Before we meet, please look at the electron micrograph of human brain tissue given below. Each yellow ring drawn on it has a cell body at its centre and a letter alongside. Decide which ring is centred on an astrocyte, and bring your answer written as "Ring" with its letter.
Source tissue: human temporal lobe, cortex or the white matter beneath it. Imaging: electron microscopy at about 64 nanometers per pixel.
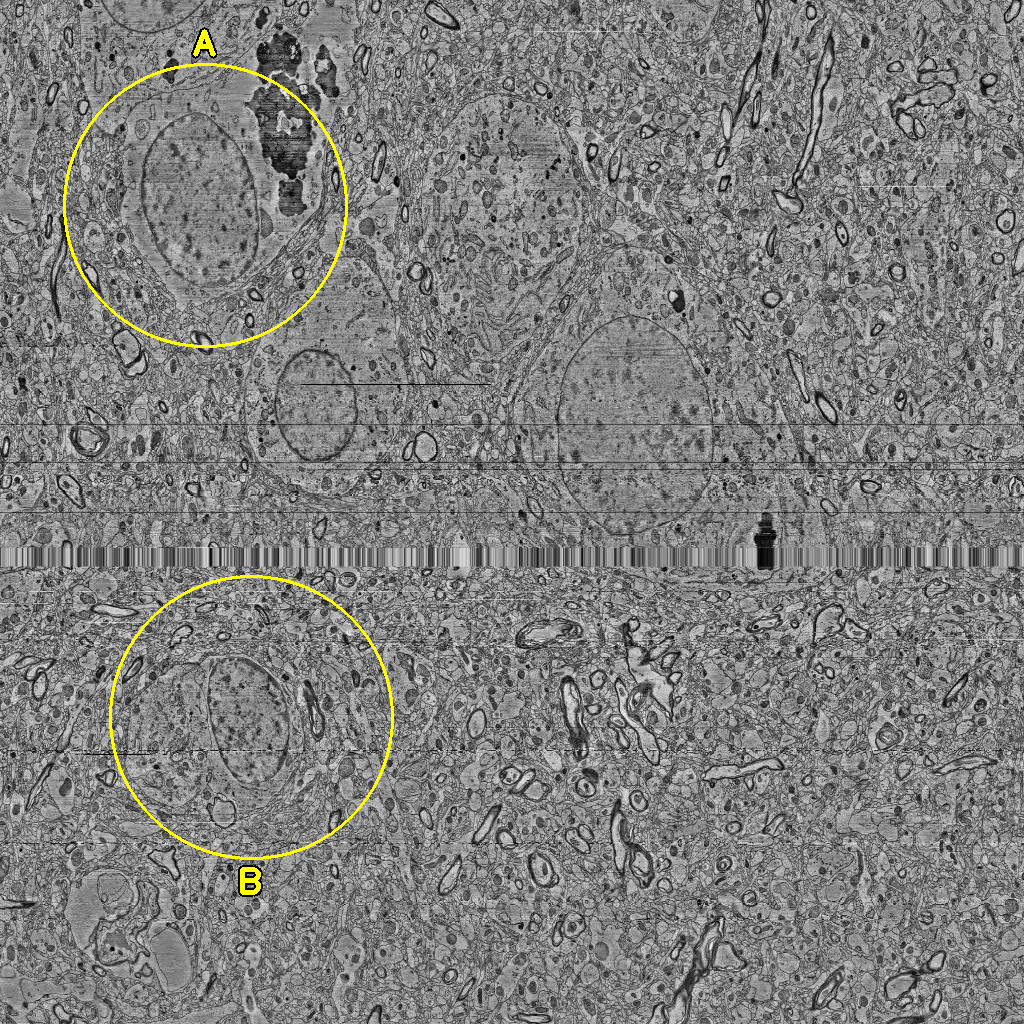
Ring A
